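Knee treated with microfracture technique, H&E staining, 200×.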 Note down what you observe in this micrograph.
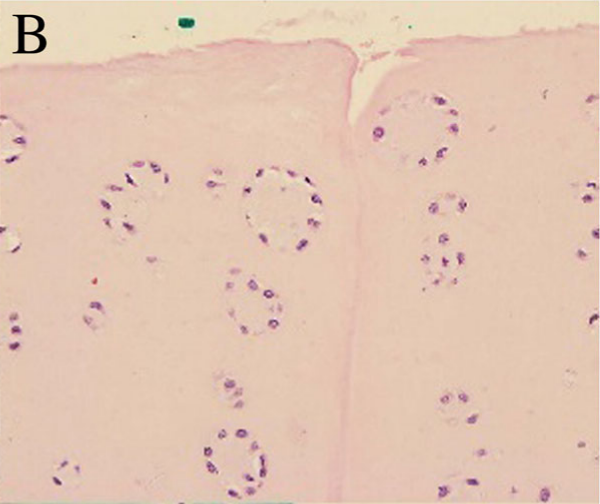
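The chondrocytes have small, dark purple nuclei and are gathered in groups, many arranged as rounded rings around a pale centre. The clusters are scattered through an abundant, homogeneous pale pink matrix with few single cells between them. A narrow cleft runs down from the surface through the matrix.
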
